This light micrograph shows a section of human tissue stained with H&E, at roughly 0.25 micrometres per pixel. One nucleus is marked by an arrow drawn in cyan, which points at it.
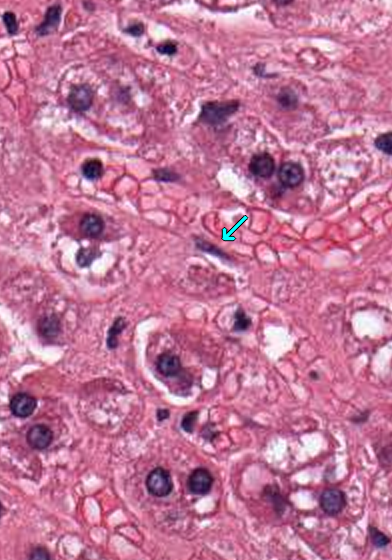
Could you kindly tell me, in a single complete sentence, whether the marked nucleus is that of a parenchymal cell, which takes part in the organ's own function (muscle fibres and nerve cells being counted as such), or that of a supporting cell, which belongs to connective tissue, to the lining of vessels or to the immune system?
In this field, the marked nucleus is the nucleus of a supporting cell.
